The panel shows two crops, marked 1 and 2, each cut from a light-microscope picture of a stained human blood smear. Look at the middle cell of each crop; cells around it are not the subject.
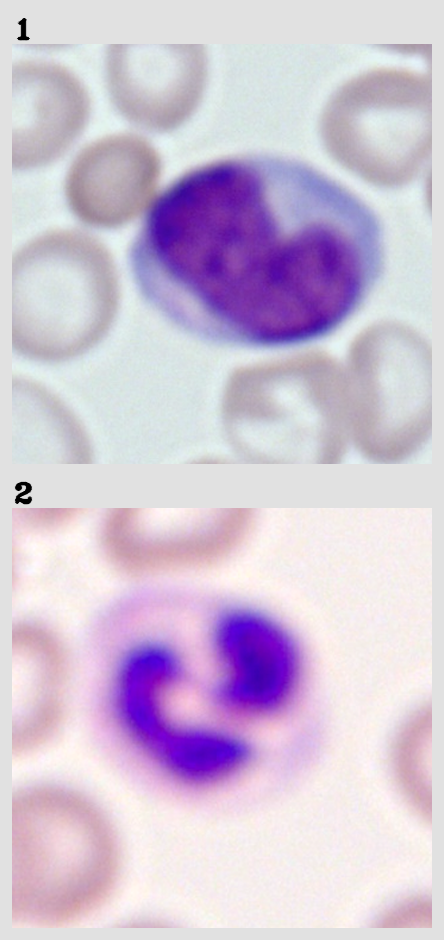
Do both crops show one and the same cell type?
no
